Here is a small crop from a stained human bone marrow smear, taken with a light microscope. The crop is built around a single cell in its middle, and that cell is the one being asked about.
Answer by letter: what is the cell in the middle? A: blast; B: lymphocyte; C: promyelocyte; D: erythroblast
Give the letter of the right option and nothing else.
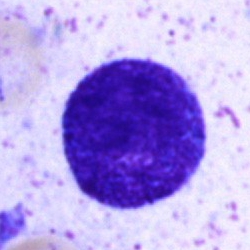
C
